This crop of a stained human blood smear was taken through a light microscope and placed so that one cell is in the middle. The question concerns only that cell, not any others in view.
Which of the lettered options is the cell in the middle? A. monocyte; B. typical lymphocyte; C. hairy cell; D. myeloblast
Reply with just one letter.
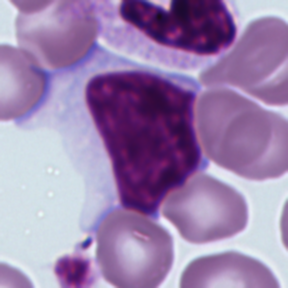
B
